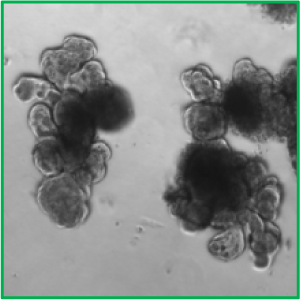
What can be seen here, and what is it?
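Several multicellular bodies lie in a clear matrix, each with a dark, opaque centre. Many rounded, translucent lobes with a thin epithelial rim bud out from around each centre.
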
